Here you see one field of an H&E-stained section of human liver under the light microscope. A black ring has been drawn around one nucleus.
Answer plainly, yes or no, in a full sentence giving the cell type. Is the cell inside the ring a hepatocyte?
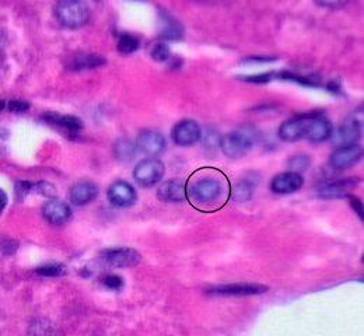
No, score the cell inside the ring as a cholangiocyte; it is not a hepatocyte.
